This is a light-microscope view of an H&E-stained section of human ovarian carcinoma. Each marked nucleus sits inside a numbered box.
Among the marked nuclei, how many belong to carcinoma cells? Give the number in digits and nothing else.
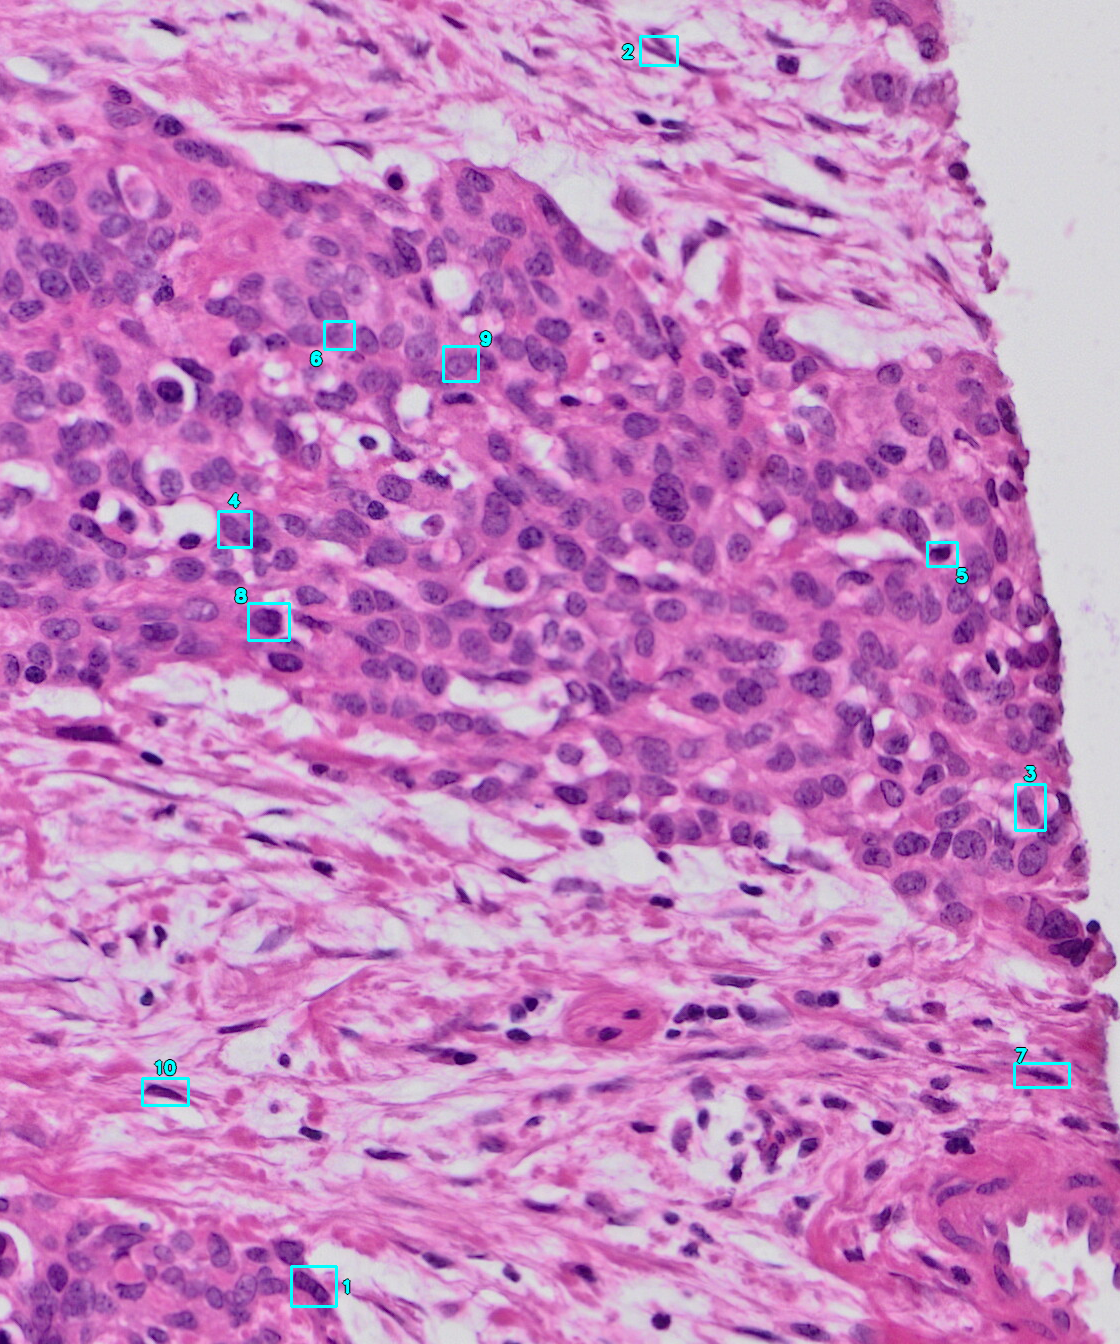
6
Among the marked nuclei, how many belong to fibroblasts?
3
